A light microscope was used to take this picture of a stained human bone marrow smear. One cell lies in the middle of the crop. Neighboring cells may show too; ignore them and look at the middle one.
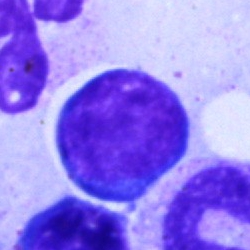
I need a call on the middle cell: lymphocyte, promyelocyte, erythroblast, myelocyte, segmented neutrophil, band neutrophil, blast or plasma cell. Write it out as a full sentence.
In the middle of this smear crop is a lymphocyte.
